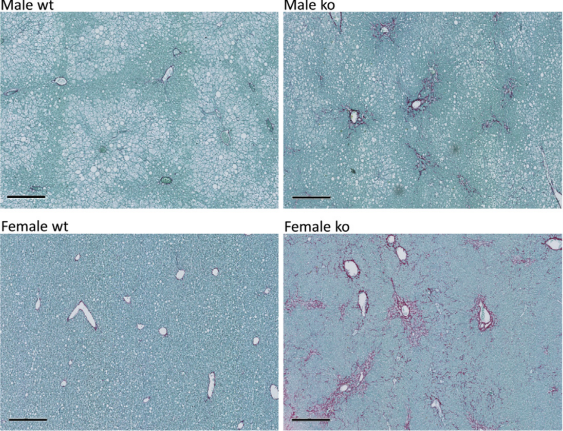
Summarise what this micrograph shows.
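In the upper left section the hepatocytes look pale and vacuolated, giving a foamy, lacy texture across much of the parenchyma. In the lower right section red collagen fibres surround many vessels and send strands outward into the parenchyma, forming an irregular network. The upper right section shows darker, slighter fibrous foci around a few vessels, while the lower left section has only thin vessel walls with hardly any red.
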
